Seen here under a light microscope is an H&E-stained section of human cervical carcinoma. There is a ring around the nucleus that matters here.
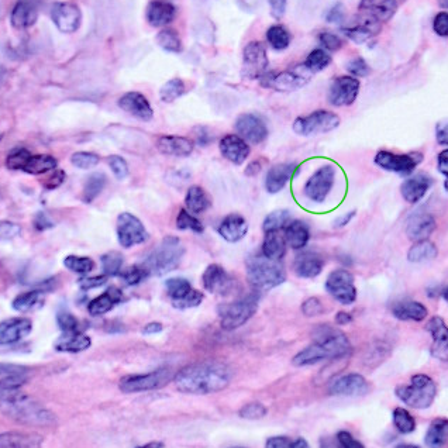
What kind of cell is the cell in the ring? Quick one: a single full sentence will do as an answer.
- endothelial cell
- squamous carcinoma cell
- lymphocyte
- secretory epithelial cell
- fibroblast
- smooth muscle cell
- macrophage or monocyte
As for its identity, the cell in the ring is a lymphocyte.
